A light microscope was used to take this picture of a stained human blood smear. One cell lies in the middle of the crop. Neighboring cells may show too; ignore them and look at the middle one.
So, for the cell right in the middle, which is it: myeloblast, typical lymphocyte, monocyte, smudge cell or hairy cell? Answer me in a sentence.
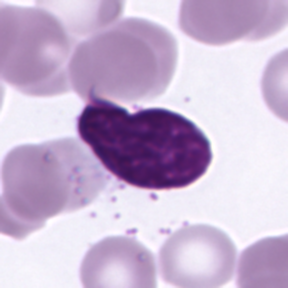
The cell that lies at the centre of the crop is a smudge cell.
